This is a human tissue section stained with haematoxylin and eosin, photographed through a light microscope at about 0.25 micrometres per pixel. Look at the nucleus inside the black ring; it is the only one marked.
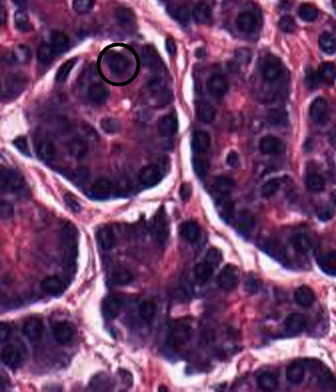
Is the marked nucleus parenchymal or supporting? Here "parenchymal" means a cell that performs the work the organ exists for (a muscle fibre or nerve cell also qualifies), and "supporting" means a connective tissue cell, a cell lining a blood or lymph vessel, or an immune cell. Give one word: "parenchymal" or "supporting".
parenchymal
